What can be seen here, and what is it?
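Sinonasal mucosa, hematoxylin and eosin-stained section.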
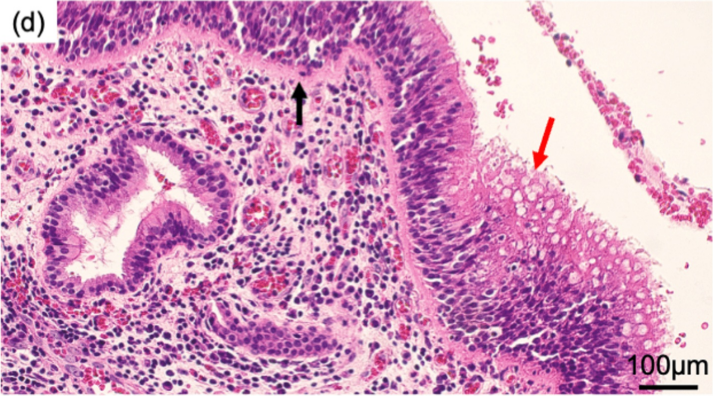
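A tall columnar epithelium with crowded purple nuclei covers the surface, and in places it holds many pale, rounded, vacuole-like cells. A distinct pink band, the basement membrane, runs beneath the epithelium. Below it the connective tissue is densely packed with small round-nucleated cells and contains small vessels filled with red blood cells, and a gland-like tube lined by columnar epithelium lies within it.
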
